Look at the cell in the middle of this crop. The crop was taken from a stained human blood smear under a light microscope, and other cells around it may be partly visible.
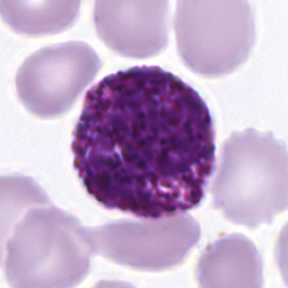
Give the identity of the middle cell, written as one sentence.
Of the cells in this crop, the central one is a basophil.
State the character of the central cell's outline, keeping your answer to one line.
A smooth, projection-free outline is what this cell has.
